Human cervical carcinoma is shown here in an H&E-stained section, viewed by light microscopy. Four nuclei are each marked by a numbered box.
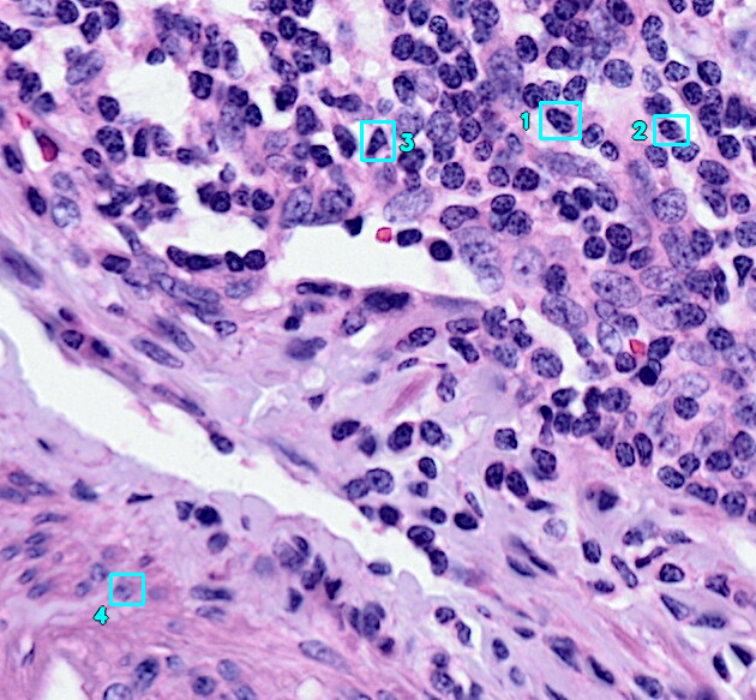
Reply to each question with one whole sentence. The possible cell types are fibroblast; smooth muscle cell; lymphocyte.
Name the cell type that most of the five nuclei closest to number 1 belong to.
The majority of the five nuclei closest to number 1 belong to lymphocytes.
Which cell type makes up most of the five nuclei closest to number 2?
Around number 2, most of the five nearest nuclei are those of lymphocytes.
